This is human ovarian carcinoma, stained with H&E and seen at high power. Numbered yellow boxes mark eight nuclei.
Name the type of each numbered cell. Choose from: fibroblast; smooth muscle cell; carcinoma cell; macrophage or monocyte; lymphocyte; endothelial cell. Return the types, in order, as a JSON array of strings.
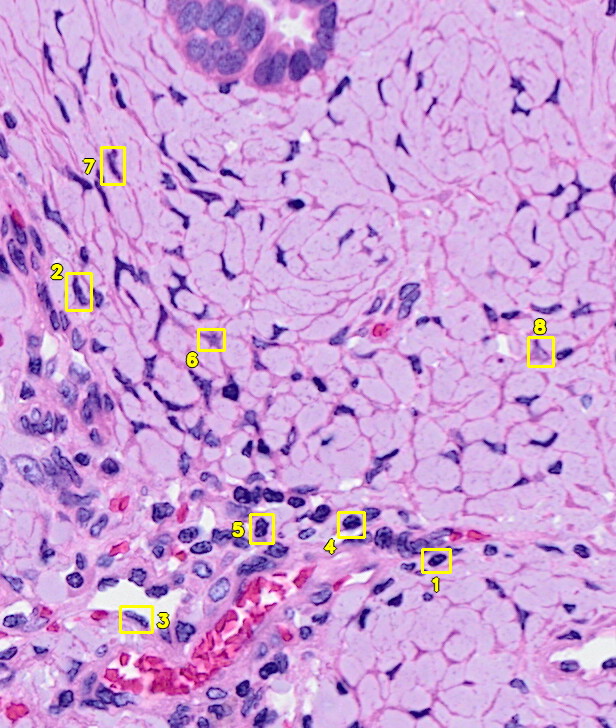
["lymphocyte", "fibroblast", "endothelial cell", "lymphocyte", "lymphocyte", "fibroblast", "fibroblast", "fibroblast"]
